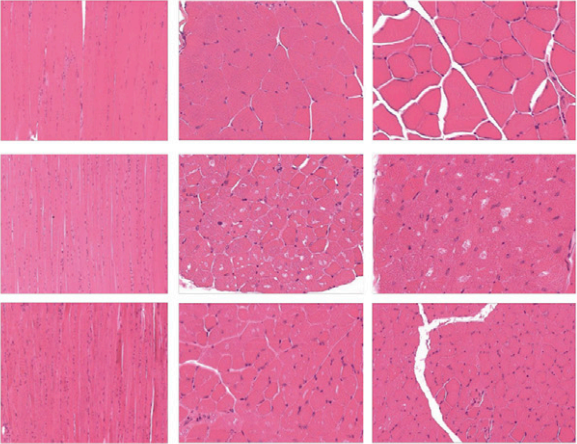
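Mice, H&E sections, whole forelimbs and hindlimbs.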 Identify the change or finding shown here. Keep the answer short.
fiber vacuolization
